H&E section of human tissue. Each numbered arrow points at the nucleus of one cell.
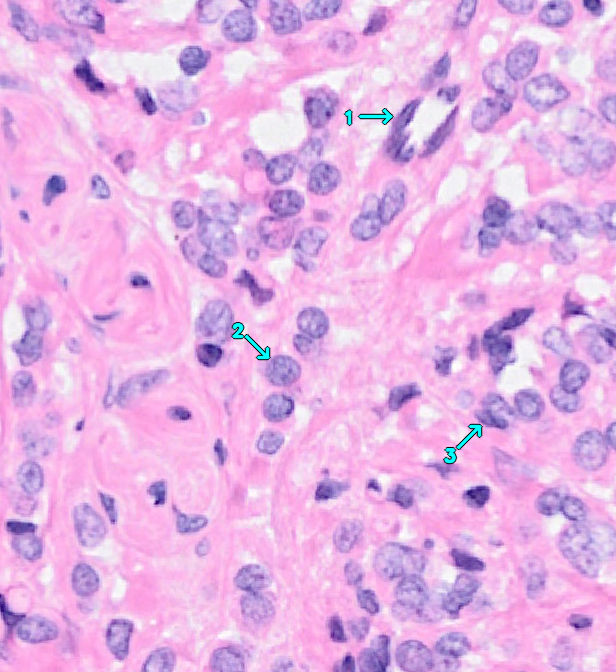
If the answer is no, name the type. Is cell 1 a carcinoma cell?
No, it is an endothelial cell.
